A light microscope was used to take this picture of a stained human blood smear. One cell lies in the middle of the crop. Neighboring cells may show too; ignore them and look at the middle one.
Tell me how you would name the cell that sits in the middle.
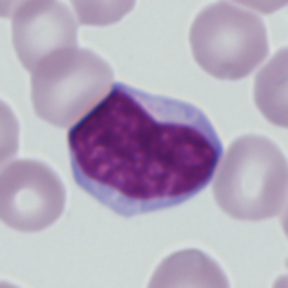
large granular lymphocyte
